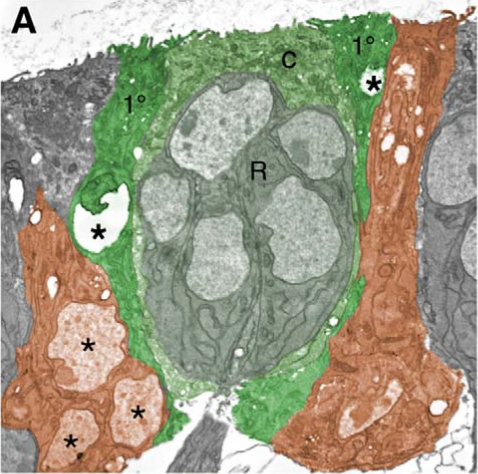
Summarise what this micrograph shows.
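Ommatidium in section: a central cluster of photoreceptors with large, pale, rounded nuclei, capped apically by cone cells and wrapped by two thin primary cells, all shaded green. Flanking secondary cells, shaded orange, are columnar with fibrous cytoplasm and carry their rounded nuclei near the base, where they are broad.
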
